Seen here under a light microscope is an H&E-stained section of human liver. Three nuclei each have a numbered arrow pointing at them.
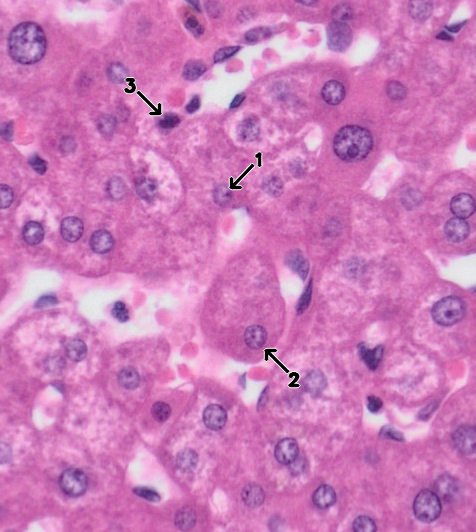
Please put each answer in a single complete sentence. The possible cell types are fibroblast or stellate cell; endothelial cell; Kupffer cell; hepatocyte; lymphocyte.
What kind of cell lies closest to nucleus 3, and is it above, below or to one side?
Just above and to the right of nucleus 3 lies the nearest nucleus, which belongs to a lymphocyte.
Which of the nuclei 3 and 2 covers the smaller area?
It is nucleus 3; nucleus 2 has about 2 times its area.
